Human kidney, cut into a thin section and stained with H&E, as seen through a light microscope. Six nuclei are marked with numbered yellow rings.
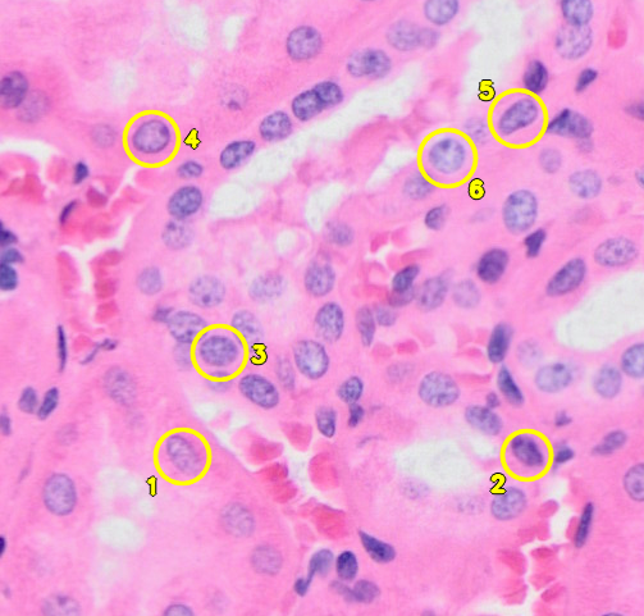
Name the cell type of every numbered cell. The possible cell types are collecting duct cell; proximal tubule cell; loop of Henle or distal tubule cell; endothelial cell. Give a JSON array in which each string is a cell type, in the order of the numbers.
["proximal tubule cell", "collecting duct cell", "collecting duct cell", "proximal tubule cell", "collecting duct cell", "collecting duct cell"]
